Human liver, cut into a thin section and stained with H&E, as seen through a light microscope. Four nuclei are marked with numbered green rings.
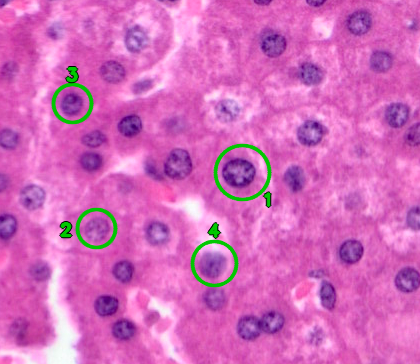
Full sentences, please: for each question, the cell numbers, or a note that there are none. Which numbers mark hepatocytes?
Classified as hepatocytes are the cells numbered 1, 2 and 3.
